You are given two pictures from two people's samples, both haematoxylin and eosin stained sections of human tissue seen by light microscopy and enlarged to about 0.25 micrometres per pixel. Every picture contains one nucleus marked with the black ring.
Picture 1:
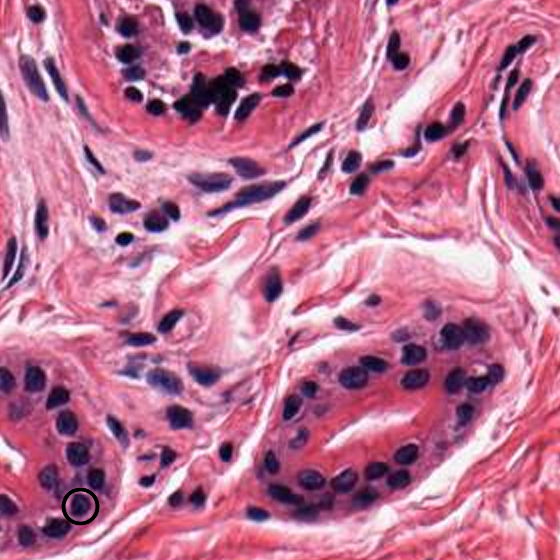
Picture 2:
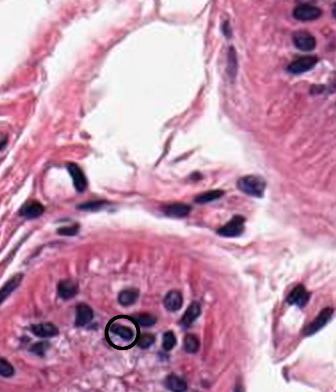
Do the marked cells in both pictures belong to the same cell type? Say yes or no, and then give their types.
Yes, both are sweat gland cells.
